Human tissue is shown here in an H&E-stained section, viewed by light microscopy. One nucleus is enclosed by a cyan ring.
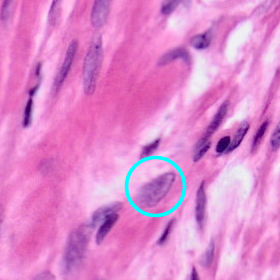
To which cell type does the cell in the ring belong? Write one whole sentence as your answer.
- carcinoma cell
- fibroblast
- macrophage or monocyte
The classification of the cell in the ring is as a fibroblast.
